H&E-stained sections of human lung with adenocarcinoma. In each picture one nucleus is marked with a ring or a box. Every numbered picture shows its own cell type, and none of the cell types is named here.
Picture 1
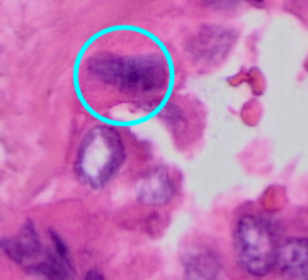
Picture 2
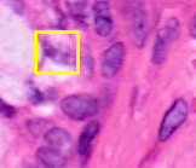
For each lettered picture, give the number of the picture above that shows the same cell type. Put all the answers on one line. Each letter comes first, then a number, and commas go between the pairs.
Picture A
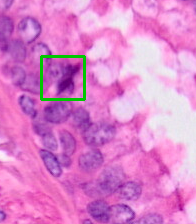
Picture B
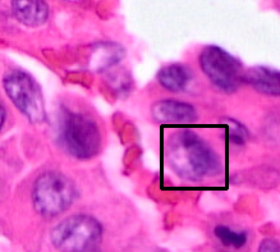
A 2, B 1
